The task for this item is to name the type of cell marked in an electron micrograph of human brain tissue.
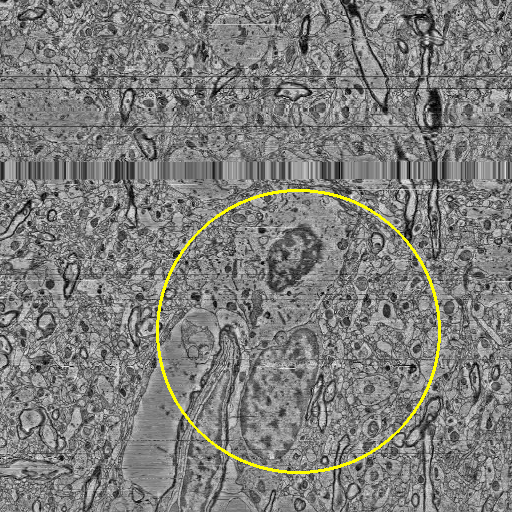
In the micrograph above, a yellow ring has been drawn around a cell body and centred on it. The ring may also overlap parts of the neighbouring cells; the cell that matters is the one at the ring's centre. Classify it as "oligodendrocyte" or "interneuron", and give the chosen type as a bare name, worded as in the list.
oligodendrocyte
